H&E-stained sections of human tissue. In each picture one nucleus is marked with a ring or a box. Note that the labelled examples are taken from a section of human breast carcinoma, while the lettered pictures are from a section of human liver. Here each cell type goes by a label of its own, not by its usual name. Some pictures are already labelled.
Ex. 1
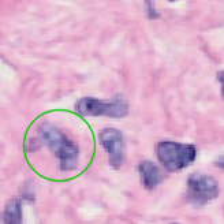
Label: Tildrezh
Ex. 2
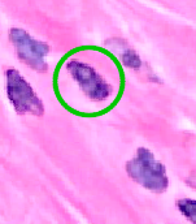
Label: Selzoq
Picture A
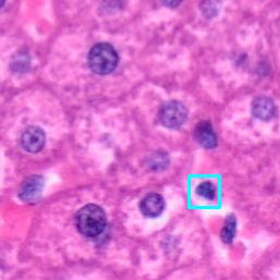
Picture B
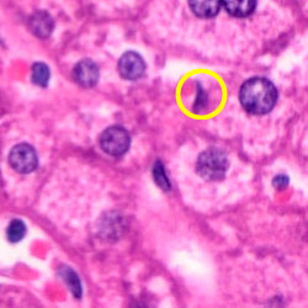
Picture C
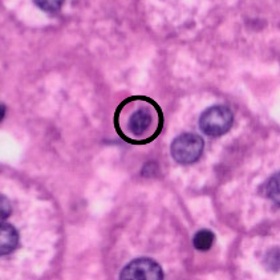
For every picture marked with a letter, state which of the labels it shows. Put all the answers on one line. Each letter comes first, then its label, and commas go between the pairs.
A Selzoq, B Tildrezh, C Selzoq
